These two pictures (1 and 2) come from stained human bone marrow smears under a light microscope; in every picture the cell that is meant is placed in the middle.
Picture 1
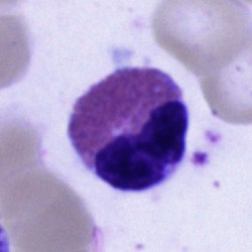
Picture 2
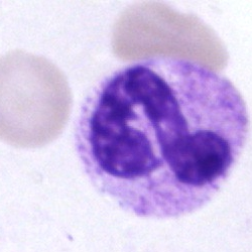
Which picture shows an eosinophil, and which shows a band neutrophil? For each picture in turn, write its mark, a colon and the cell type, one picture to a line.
1: eosinophil
2: band neutrophil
